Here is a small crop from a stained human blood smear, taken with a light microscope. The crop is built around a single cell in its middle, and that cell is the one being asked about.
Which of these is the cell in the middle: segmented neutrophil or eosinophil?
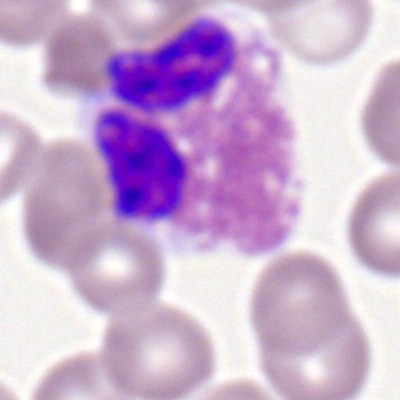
eosinophil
